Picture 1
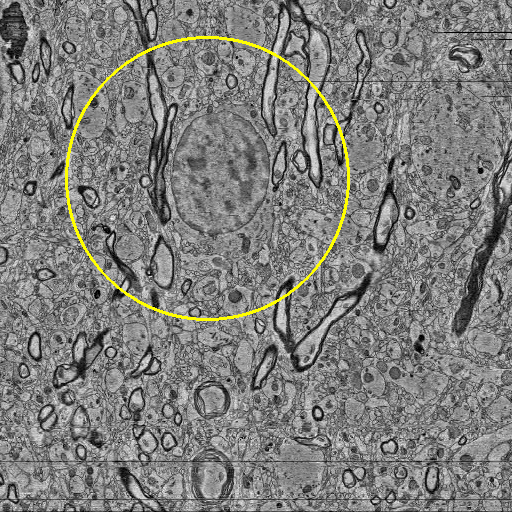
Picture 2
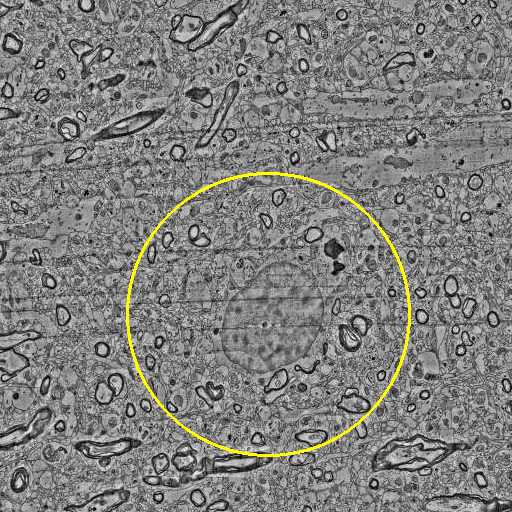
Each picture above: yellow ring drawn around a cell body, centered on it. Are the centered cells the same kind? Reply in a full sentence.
Yes, the two cells are the same kind.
